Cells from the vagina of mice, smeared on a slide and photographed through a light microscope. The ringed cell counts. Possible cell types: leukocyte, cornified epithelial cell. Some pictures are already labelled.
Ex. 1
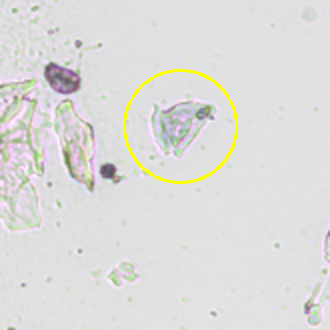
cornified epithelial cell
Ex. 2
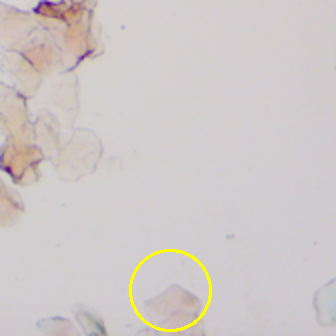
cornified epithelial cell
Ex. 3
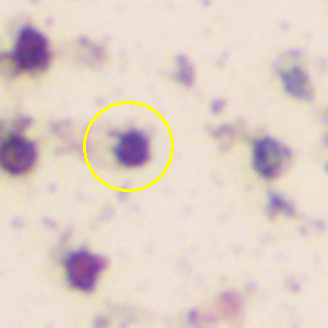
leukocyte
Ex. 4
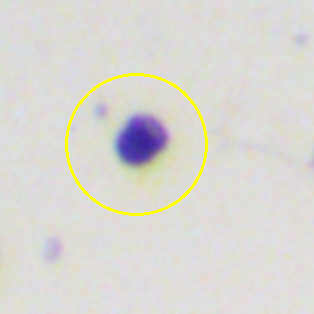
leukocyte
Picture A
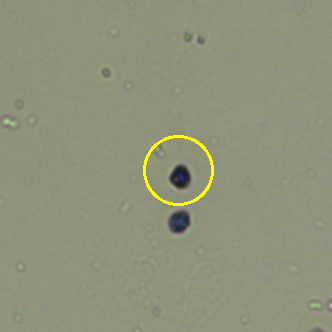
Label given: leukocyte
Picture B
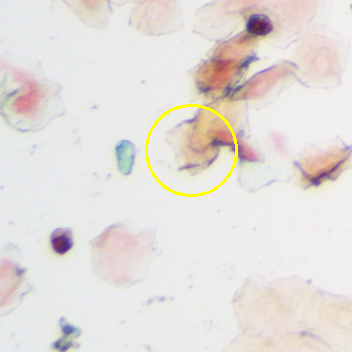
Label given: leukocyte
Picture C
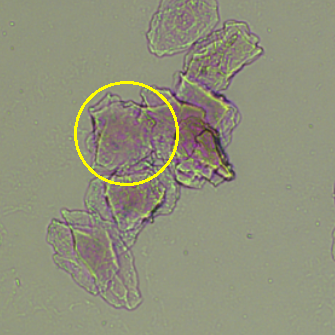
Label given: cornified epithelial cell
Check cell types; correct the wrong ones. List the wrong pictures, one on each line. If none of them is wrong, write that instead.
B: cornified epithelial cell, not leukocyte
